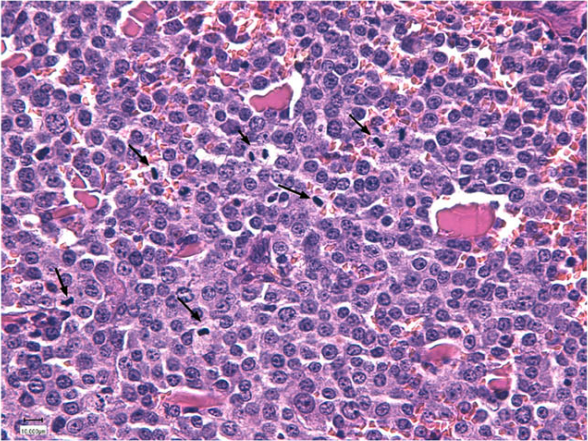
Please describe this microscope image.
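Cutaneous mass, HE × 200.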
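The cells have round to oval nuclei with open chromatin and distinct nucleoli, surrounded by a moderate amount of pale pink cytoplasm. Scattered among them are several mitotic figures, seen as small, dark, condensed chromatin clumps. Small vessels and pools of red blood cells lie between the cell sheets.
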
